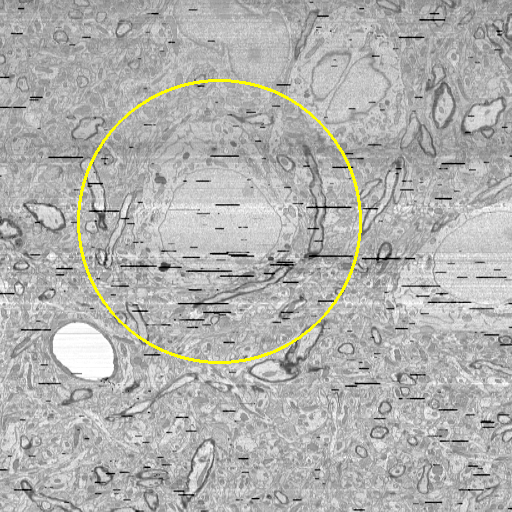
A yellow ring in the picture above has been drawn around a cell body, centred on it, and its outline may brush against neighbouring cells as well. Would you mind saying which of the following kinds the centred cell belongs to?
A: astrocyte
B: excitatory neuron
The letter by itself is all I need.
B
